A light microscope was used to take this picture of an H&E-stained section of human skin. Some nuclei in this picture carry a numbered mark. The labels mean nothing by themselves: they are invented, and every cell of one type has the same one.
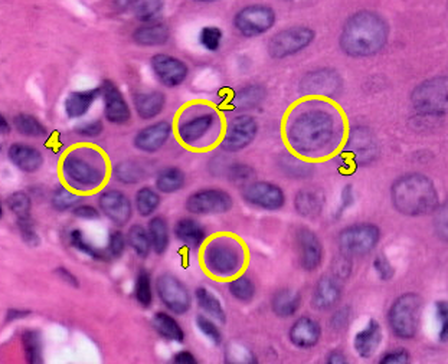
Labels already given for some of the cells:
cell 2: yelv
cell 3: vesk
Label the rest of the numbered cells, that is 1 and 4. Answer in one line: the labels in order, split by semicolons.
yelv; vesk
